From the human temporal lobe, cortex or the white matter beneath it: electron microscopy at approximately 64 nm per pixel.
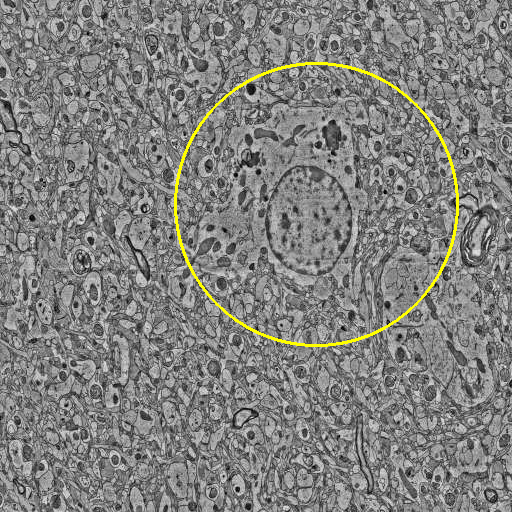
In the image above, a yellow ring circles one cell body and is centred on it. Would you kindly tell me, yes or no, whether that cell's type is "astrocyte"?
yes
